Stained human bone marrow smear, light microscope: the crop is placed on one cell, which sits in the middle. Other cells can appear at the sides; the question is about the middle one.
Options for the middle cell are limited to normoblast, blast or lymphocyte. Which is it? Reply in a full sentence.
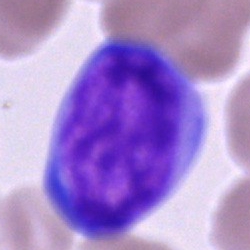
In this crop, the cell at the very middle is a blast.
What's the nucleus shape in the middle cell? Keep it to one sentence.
Between us, the nucleus here is just one compact mass, round, oval or kidney-shaped.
